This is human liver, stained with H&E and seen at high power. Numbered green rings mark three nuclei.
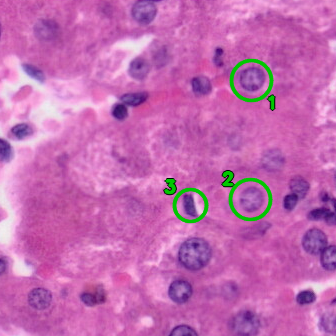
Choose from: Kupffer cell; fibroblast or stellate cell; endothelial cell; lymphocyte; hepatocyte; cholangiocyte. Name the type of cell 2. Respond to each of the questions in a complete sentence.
Regarding cell 2, this one is a hepatocyte.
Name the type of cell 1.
Cell 1 in the field is a hepatocyte.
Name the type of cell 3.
The cell identified by number 3 is a fibroblast or stellate cell.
